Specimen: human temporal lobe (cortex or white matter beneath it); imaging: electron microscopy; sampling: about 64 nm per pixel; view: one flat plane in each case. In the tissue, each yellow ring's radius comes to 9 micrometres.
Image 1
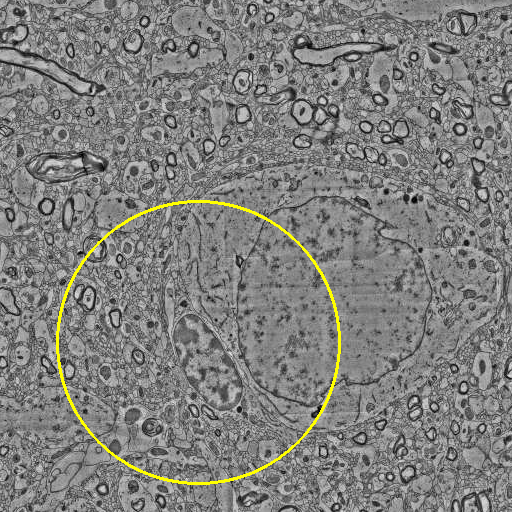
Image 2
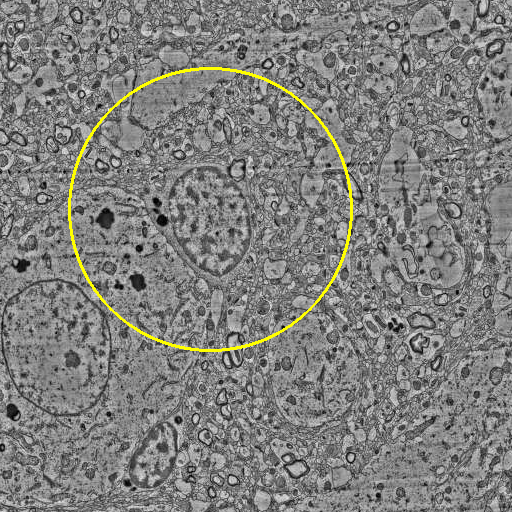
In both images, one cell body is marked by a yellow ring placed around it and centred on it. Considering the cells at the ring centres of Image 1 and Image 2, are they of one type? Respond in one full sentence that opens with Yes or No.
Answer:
No, two types apply to the ring-centred cells of Image 1 and Image 2.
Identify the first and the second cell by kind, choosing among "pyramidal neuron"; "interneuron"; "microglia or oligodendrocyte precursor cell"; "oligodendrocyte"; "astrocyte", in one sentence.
The one in the first picture is a microglial cell or oligodendrocyte precursor cell, while the one in the second is an oligodendrocyte.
